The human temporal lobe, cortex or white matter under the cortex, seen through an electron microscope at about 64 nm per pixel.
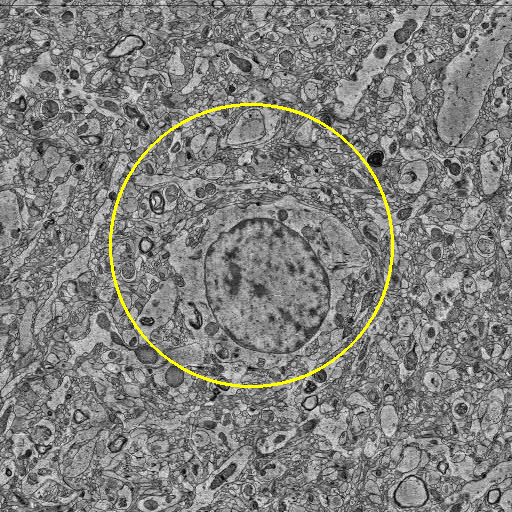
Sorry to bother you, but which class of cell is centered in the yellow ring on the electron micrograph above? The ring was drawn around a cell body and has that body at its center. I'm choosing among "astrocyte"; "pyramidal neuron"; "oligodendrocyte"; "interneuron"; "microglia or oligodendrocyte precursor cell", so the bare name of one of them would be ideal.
astrocyte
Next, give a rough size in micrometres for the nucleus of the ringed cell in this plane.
In this plane, approximately 9 by 8 micrometers.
